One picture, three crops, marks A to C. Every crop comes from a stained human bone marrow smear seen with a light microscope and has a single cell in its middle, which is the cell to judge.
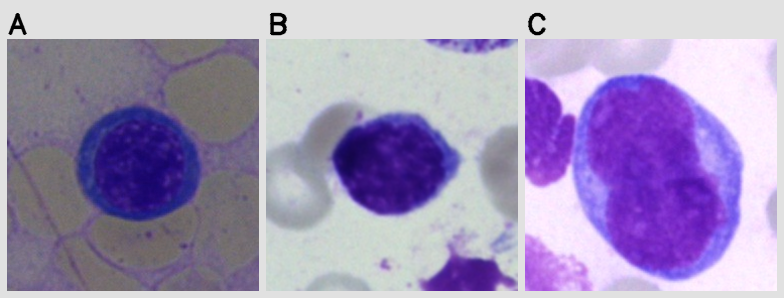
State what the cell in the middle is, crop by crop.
A: erythroblast
B: lymphocyte
C: blast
